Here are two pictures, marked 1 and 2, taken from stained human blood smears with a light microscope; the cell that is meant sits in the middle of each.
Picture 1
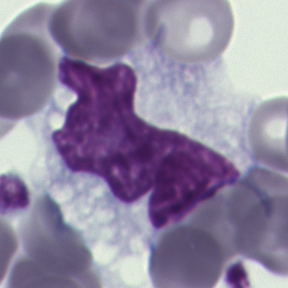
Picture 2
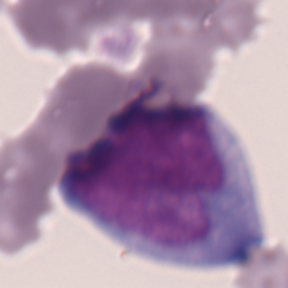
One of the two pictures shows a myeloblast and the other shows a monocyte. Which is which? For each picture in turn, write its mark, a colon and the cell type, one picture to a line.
1: monocyte
2: myeloblast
